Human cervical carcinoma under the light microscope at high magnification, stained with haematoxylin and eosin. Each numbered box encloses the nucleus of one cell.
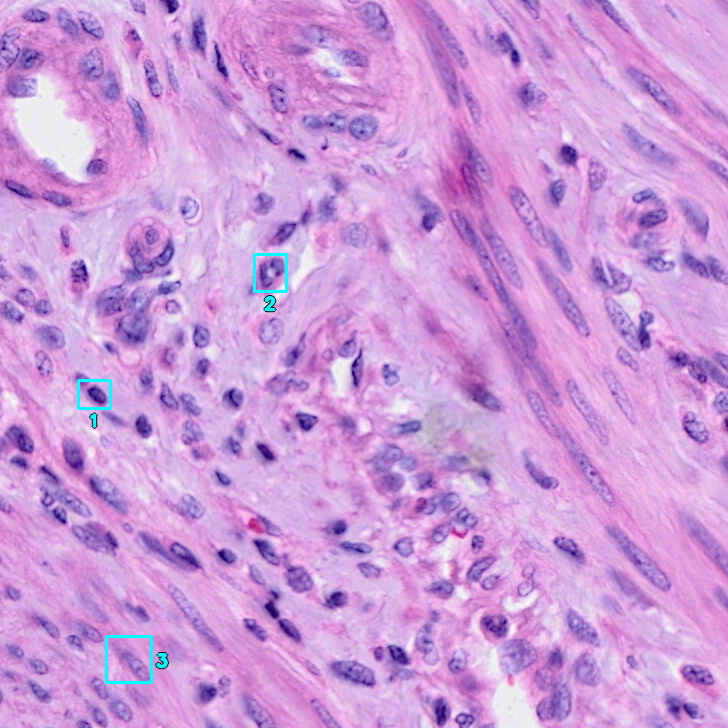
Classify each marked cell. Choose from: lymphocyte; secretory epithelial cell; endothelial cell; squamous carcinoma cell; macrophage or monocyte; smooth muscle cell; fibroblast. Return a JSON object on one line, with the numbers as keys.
{"1": "lymphocyte", "2": "endothelial cell", "3": "smooth muscle cell"}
